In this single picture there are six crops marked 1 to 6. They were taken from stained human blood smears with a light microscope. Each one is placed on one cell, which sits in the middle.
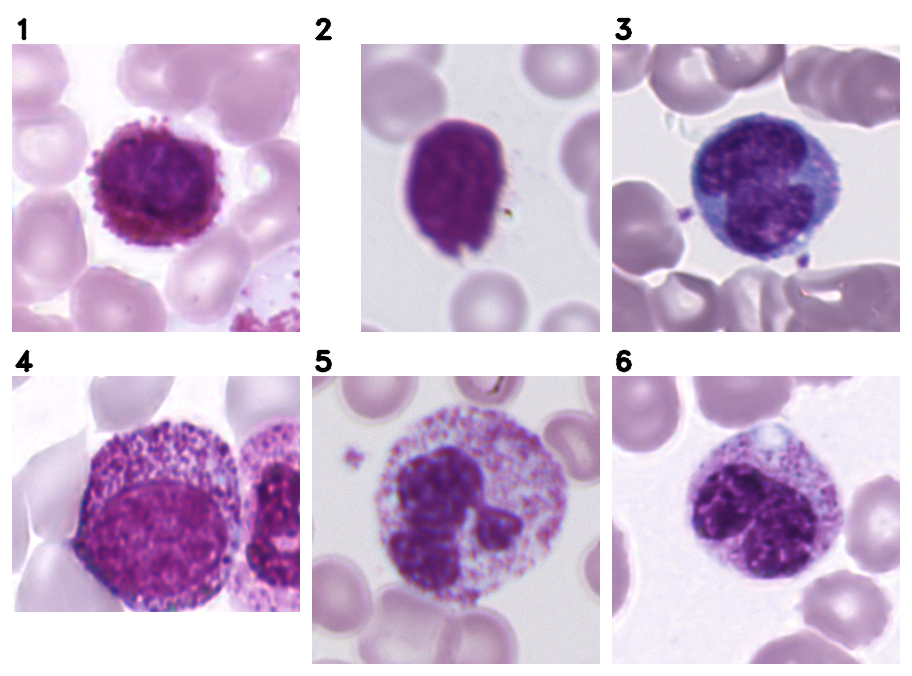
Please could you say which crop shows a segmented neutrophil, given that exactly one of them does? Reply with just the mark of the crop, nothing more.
5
